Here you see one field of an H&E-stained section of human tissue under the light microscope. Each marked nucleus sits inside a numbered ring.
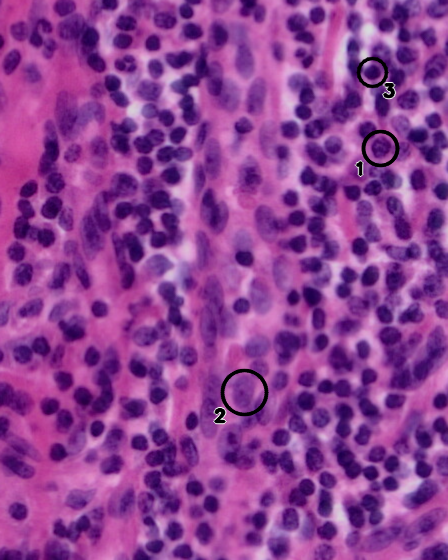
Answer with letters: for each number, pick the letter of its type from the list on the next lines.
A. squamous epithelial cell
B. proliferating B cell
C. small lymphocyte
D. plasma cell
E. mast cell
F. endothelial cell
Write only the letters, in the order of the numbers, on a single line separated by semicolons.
D; F; C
